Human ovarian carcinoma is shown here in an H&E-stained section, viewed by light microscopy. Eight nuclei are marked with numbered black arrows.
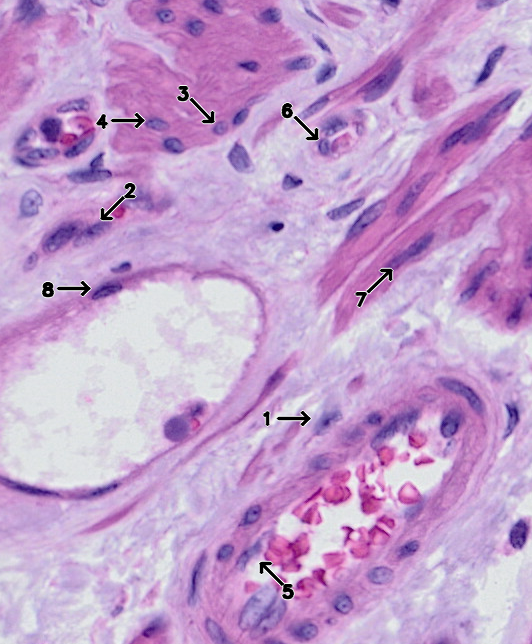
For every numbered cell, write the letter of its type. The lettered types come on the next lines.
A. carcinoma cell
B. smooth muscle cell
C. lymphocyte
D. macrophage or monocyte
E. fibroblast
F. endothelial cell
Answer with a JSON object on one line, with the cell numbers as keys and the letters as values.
{"1": "E", "2": "F", "3": "B", "4": "B", "5": "F", "6": "F", "7": "B", "8": "F"}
